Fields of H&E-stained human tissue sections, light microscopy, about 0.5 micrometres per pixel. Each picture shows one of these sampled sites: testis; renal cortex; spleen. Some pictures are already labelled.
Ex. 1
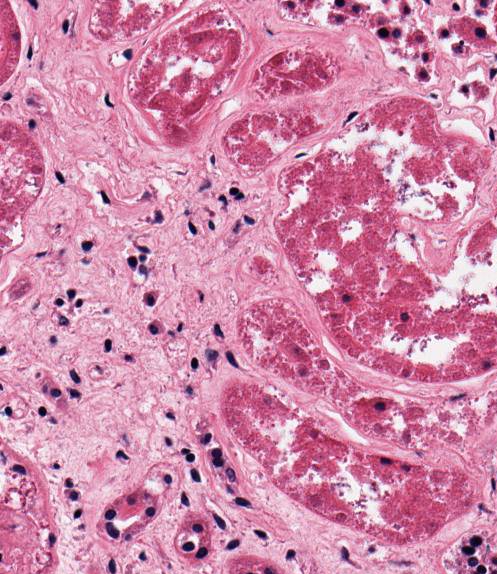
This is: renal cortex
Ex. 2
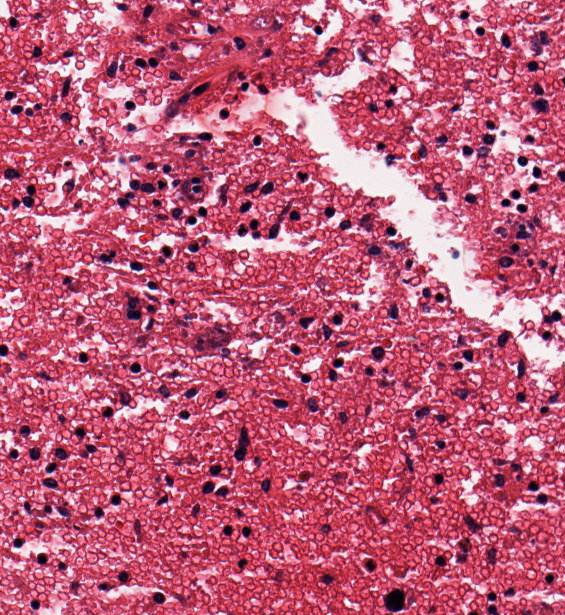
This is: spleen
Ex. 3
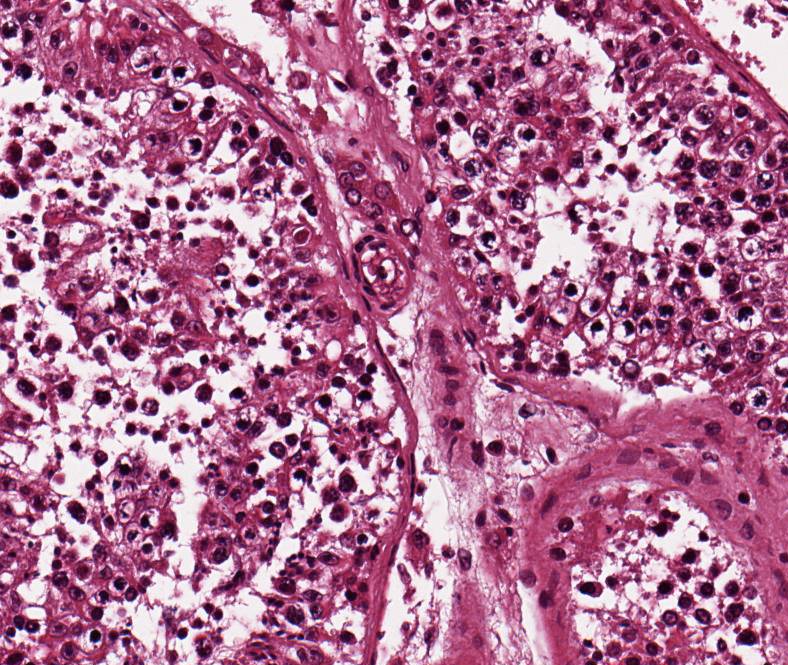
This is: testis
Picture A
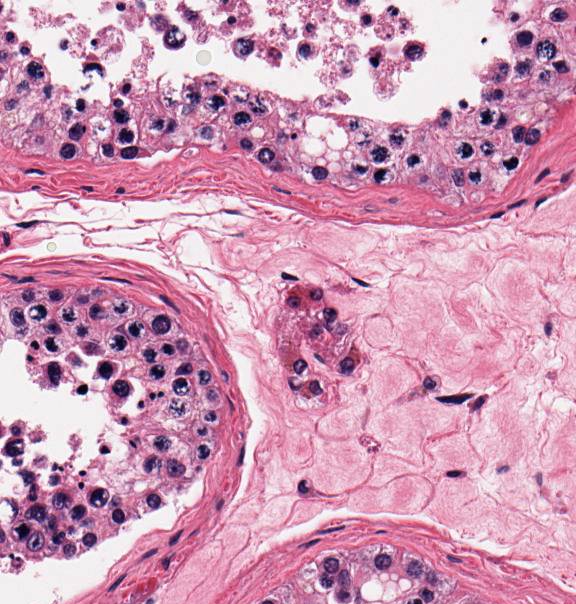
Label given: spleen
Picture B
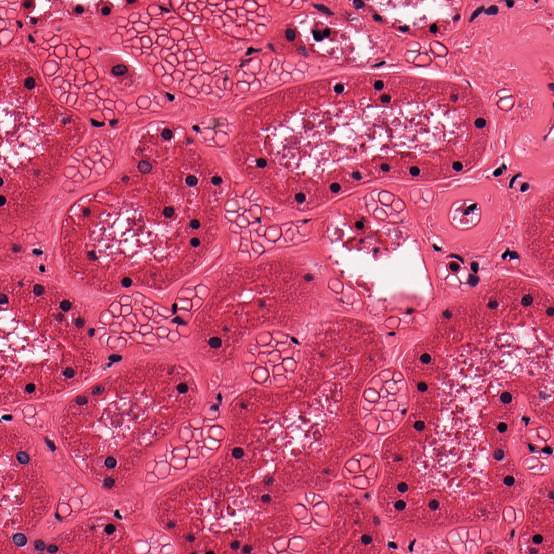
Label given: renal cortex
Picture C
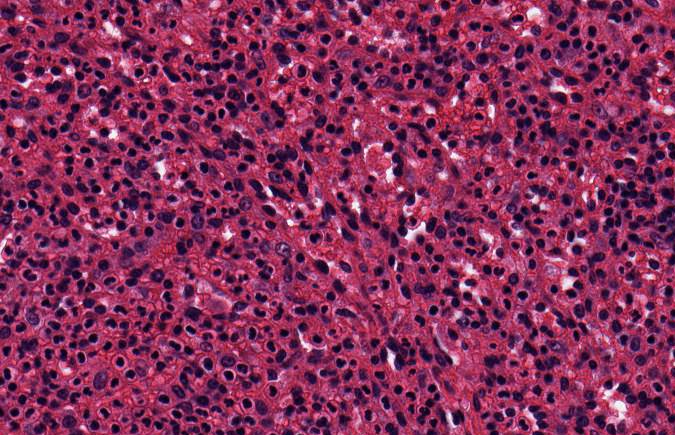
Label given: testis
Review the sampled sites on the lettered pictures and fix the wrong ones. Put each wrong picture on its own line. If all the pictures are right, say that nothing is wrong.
A should be testis, not spleen
C should be spleen, not testis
